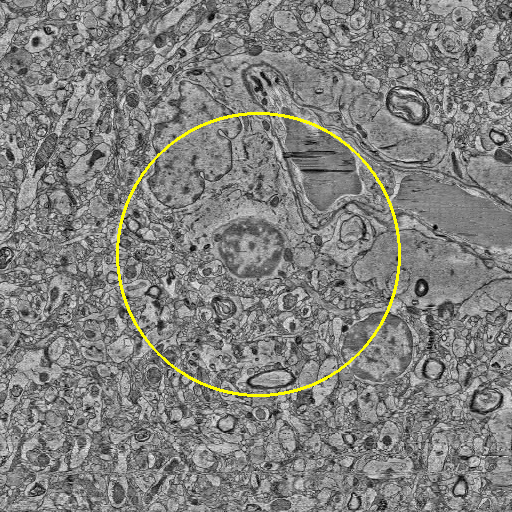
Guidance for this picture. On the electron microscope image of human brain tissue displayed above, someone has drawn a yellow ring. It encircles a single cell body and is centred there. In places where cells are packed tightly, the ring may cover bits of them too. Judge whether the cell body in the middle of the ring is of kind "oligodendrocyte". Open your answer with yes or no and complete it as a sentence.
Yes, that kind matches the cell whose body lies at the ring's centre in the image above.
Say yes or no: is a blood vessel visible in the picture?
Yes, a blood vessel is present in this picture.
